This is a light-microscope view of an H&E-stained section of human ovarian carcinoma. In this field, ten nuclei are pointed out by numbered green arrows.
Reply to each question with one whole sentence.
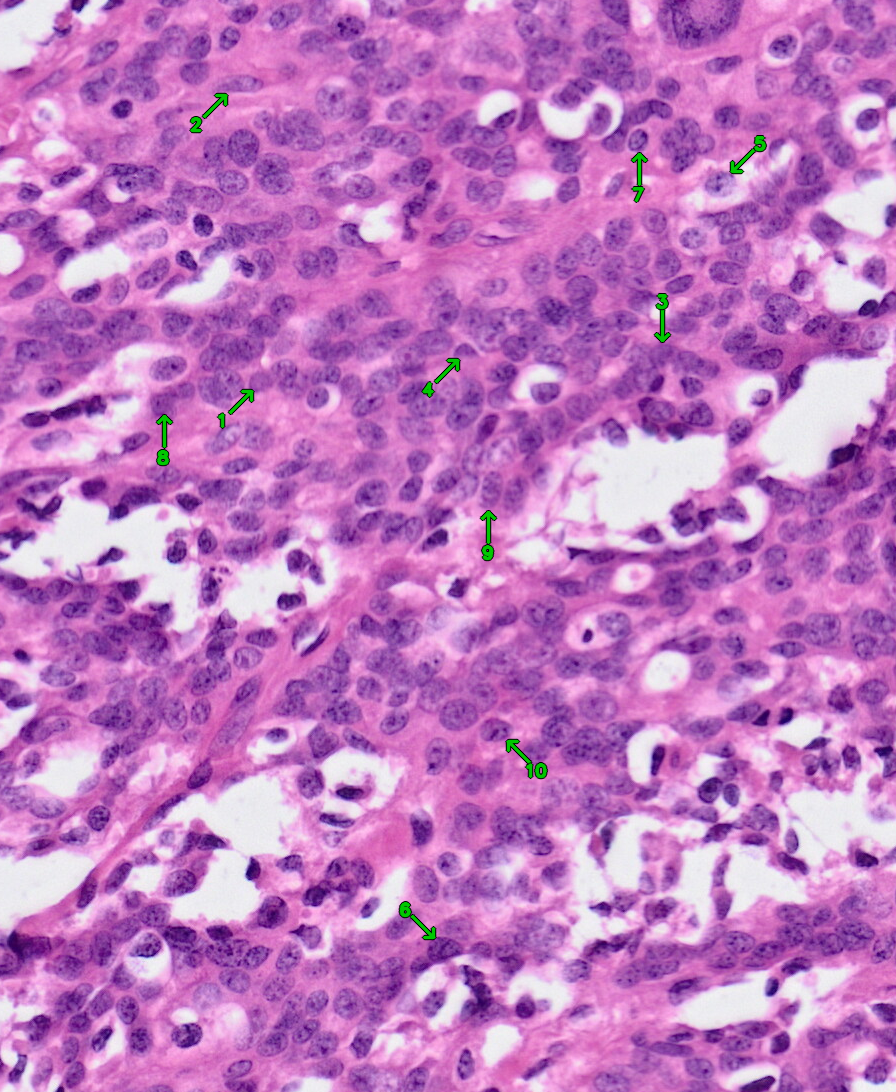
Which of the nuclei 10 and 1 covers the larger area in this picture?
It is nucleus 10, which covers about 1.5 times the area of nucleus 1.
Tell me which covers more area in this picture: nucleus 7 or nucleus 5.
The larger nucleus is 5, at roughly 1.5 times the area of 7.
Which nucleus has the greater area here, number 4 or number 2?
Nucleus 2 covers more area, about 2.5 times as much as nucleus 4.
